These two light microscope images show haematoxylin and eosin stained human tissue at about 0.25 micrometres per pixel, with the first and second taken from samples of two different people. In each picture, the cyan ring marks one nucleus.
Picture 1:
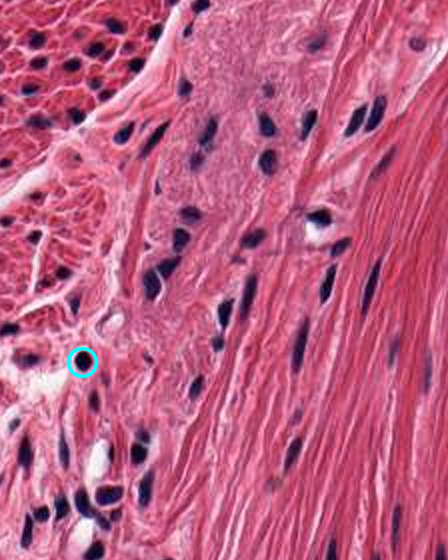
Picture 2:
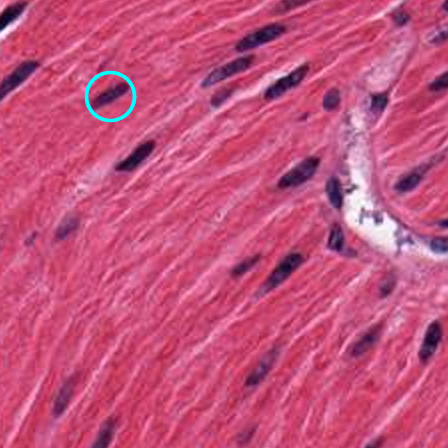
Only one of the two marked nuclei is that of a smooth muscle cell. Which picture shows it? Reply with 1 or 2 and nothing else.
2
